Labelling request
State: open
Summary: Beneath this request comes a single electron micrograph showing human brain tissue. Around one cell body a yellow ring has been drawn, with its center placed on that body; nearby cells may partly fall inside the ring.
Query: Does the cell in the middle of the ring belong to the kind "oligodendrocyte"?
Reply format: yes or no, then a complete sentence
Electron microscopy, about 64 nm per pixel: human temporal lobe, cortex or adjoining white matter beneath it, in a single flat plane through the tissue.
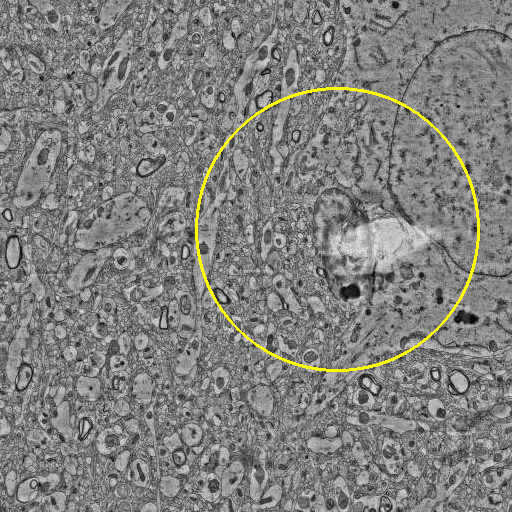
Yes, the cell sitting at the center of the ring in this picture is of that kind.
